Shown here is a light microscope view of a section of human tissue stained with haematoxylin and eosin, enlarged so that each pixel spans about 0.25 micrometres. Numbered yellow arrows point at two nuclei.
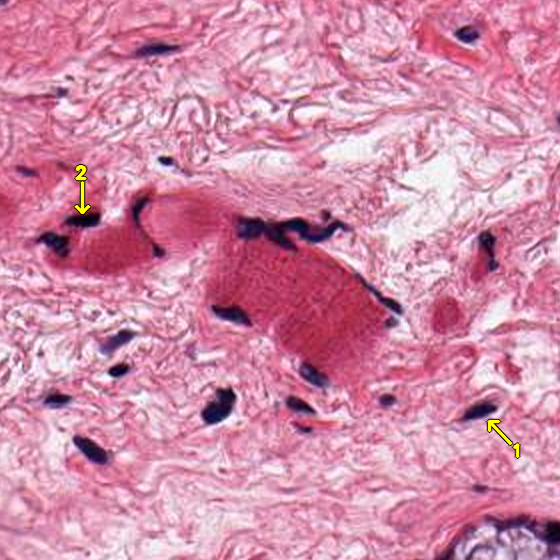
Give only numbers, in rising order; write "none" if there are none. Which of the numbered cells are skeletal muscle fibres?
2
